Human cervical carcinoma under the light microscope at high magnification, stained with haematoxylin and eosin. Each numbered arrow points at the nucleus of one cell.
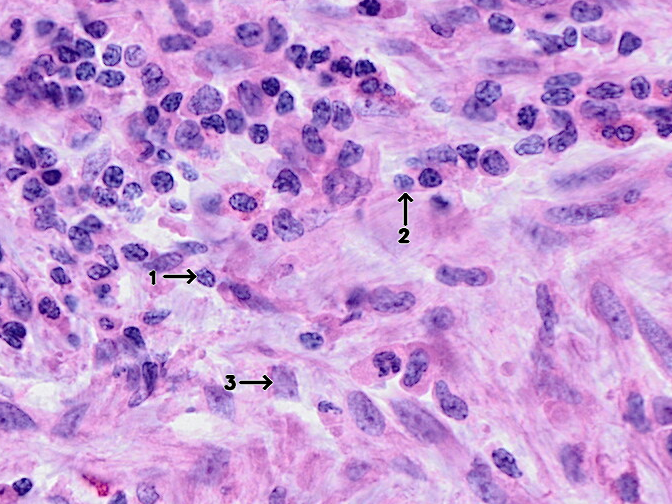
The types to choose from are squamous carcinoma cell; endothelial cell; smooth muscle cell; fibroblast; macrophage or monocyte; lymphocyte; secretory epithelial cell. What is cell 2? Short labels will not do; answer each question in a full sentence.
The cell pointed out by number 2 is a lymphocyte.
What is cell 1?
The numeral 1 marks a lymphocyte in this section.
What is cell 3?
What the number 3 marks in this field is a fibroblast.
